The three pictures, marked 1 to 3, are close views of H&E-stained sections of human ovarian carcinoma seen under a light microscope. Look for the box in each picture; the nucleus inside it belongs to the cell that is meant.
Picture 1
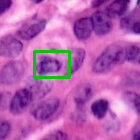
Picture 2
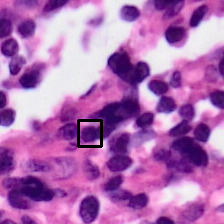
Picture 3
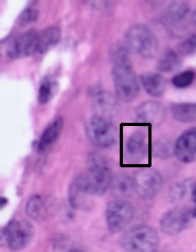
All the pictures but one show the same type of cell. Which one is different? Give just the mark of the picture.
1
